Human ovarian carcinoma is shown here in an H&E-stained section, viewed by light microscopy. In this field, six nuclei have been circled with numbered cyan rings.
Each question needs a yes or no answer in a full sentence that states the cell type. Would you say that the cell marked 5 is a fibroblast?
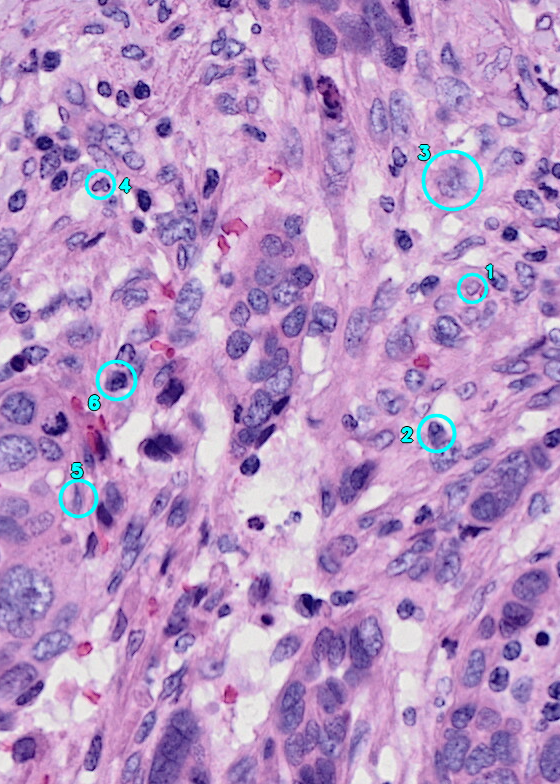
Yes, cell number 5 is classified as a fibroblast.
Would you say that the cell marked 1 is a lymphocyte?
No, cell 1 is not to be taken for a lymphocyte; it is an endothelial cell.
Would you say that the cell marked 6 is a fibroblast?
No, the cell numbered 6 is a lymphocyte rather than a fibroblast.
